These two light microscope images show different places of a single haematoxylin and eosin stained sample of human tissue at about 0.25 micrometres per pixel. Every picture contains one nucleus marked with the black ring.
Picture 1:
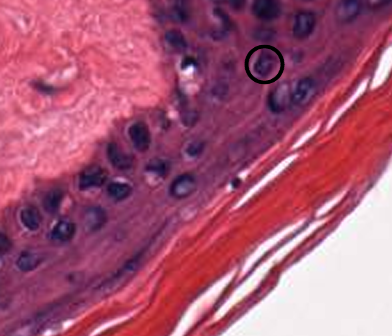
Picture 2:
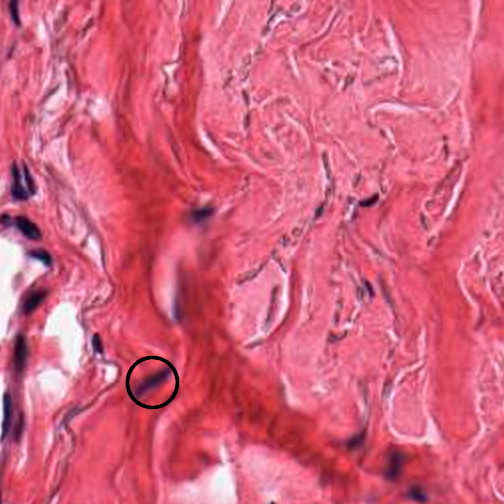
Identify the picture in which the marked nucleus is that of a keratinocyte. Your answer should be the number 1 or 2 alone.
1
